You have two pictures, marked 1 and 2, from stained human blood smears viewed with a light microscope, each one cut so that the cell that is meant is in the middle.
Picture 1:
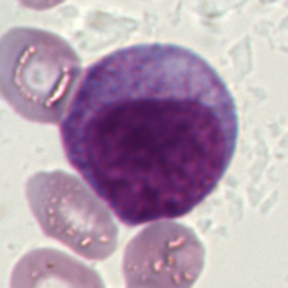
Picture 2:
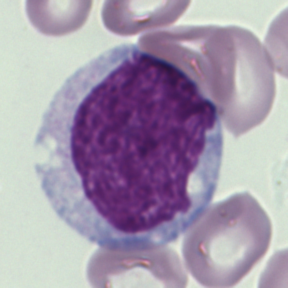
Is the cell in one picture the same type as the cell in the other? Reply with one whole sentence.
No, they differ: the cell is a promyelocyte in picture 1 and a monocyte in picture 2.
